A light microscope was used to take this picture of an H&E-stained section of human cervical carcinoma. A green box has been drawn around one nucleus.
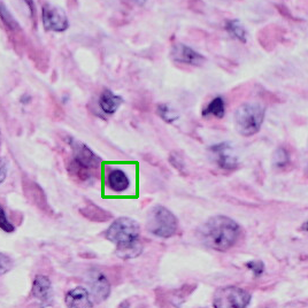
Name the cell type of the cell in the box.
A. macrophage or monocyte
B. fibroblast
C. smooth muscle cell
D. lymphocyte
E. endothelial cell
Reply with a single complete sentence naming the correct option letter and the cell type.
With the cell in the box being a lymphocyte, option D is correct.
